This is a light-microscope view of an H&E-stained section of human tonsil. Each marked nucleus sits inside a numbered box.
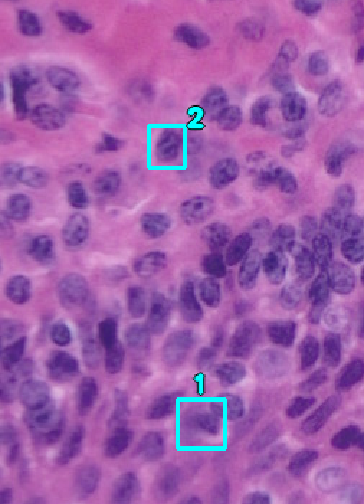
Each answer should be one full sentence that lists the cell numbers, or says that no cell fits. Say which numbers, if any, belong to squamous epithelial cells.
Among the cells marked with numbers, the only one that is a squamous epithelial cell is number 1.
